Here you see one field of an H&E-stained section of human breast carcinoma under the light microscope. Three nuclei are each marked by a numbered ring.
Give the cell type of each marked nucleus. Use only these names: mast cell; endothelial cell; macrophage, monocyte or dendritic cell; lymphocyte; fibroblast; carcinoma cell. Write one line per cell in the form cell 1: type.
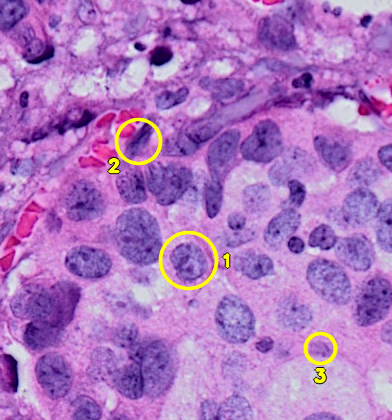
cell 1: carcinoma cell
cell 2: endothelial cell
cell 3: carcinoma cell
